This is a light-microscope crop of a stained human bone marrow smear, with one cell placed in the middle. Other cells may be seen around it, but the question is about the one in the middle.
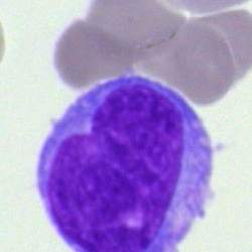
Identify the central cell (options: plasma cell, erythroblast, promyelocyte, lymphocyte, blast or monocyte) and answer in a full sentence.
The centered cell in this crop is a blast.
